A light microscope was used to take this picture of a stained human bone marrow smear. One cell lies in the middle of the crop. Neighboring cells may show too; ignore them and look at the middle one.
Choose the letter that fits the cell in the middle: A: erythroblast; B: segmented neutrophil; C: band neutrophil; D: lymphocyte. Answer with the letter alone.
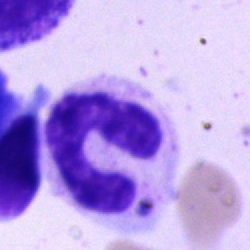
C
